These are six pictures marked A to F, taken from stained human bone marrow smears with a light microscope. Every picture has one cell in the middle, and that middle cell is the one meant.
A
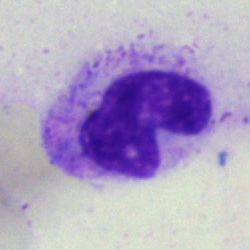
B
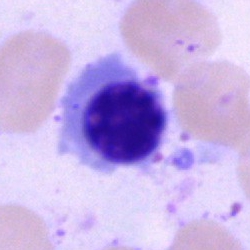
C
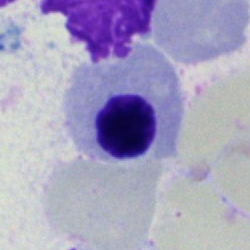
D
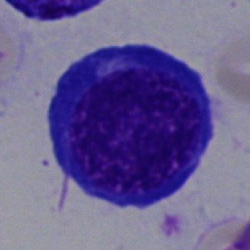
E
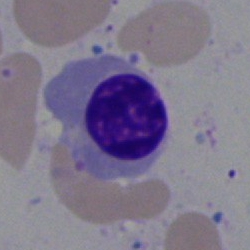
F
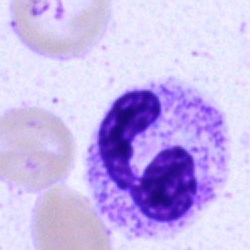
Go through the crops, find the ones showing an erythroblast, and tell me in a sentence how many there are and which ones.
Here, four crops, B, C, D and E, show erythroblasts.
